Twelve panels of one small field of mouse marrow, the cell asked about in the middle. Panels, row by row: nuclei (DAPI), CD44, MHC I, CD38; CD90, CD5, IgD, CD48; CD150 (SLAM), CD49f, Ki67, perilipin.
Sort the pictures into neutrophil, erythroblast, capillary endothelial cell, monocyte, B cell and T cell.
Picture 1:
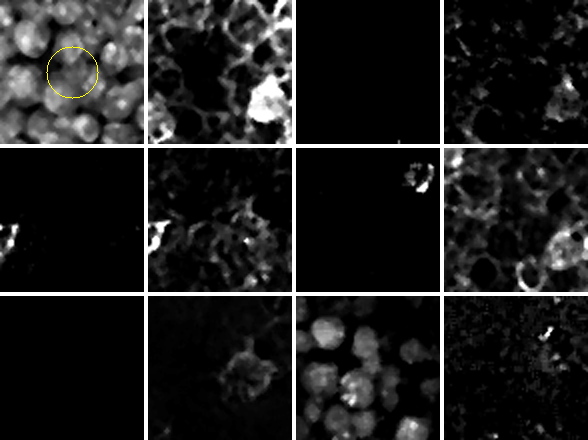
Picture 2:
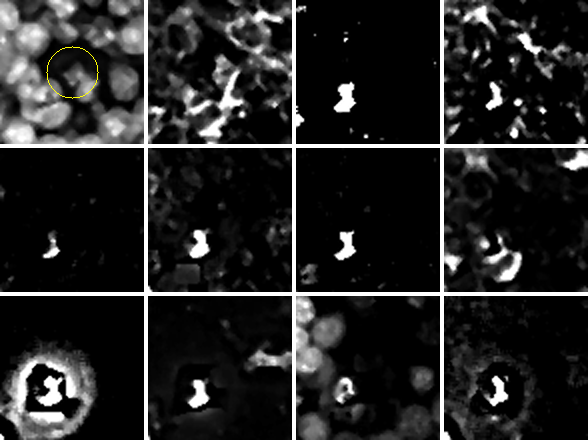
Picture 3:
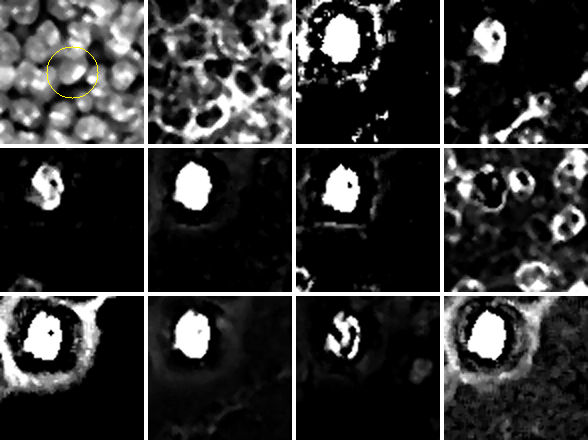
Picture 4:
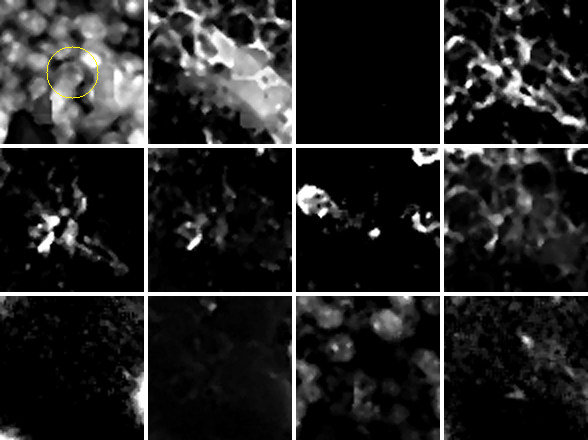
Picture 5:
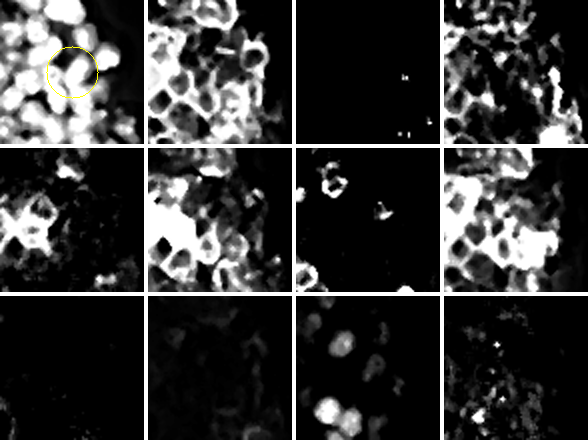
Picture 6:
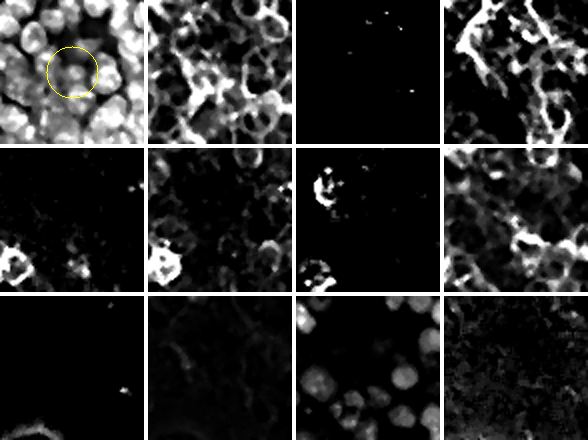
Erythroblasts: 1, 4
Neutrophils: 2
Monocytes: 3
B cells: 5
Capillary endothelial cells: 6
